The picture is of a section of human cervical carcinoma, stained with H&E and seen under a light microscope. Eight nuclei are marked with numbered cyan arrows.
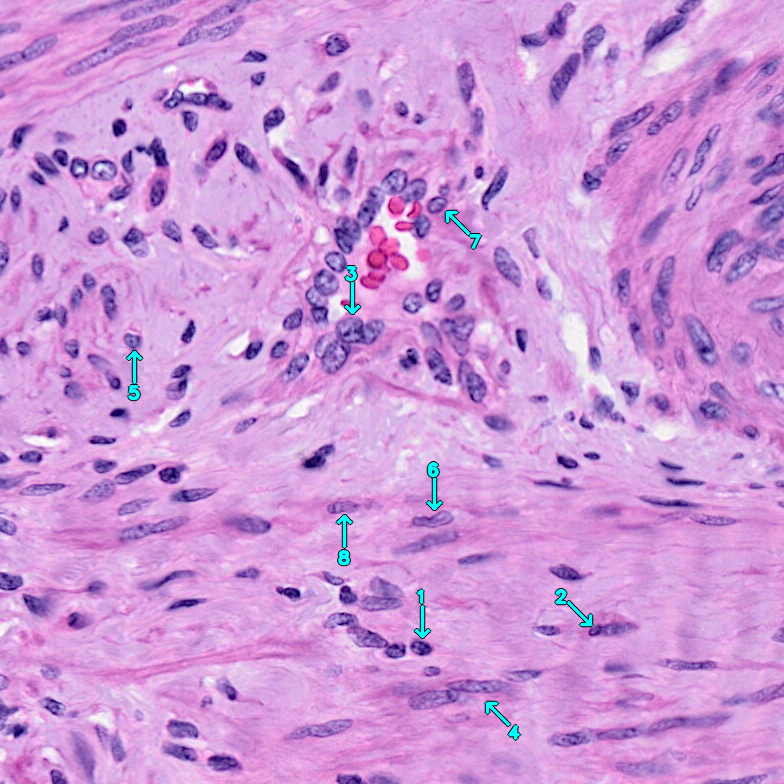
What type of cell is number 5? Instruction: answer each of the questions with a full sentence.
The one numbered 5 among the marked cells is a smooth muscle cell.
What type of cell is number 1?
Recognised here as a lymphocyte is the cell numbered 1.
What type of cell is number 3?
The cell carrying label 3 is identified as an endothelial cell.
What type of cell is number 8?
The cell to which the number 8 is assigned is a smooth muscle cell.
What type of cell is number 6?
The cell referred to as 6 is a smooth muscle cell.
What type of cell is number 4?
The cell pointed out as number 4 is a smooth muscle cell.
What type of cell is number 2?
Cell 2, as marked in the section, is a smooth muscle cell.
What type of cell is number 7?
At number 7, the marked cell is an endothelial cell.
